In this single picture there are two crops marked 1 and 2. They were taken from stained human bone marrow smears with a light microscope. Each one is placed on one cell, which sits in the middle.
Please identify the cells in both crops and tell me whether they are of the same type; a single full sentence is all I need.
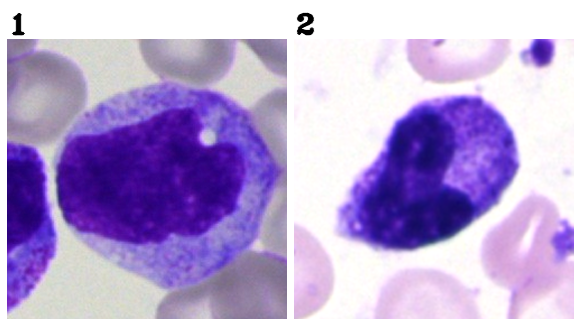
No, crop 1 displays a monocyte, and crop 2 displays a band neutrophil.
